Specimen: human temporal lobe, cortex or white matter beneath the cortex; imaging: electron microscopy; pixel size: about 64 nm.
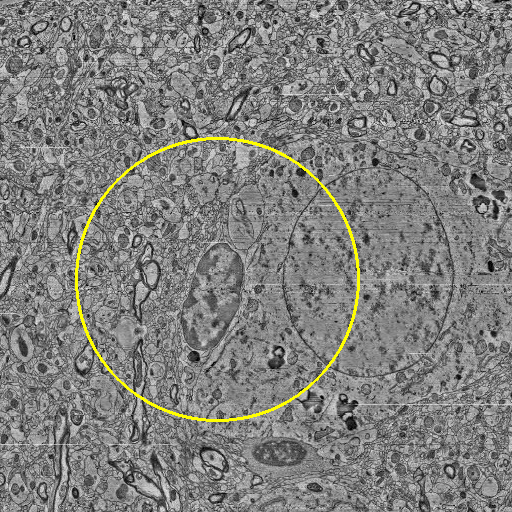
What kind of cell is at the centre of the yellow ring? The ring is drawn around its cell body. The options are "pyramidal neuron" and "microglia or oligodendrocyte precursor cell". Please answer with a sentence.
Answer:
The yellow ring marks the cell body of a microglial cell or oligodendrocyte precursor cell.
